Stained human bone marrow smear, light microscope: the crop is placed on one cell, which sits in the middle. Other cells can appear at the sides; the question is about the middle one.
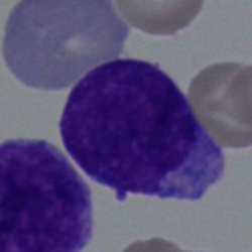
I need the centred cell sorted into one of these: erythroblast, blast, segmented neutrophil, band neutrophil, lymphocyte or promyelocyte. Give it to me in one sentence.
The cell found in the middle of this crop is a blast.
